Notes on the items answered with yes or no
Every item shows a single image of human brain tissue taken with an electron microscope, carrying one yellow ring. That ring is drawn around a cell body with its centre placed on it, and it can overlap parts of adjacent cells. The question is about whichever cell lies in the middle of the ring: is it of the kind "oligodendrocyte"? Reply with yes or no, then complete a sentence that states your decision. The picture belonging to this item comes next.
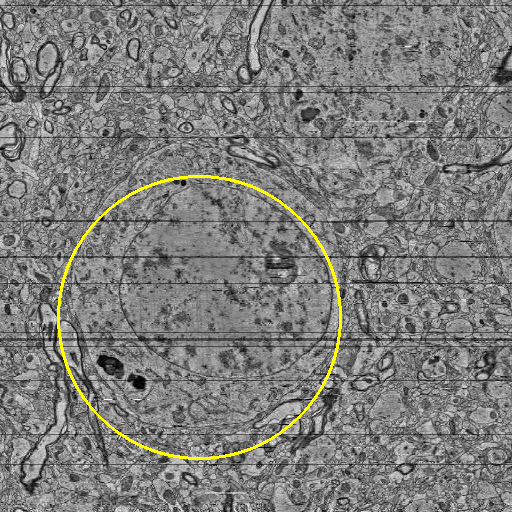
No, this micrograph shows a cell of another kind in the middle of the ring.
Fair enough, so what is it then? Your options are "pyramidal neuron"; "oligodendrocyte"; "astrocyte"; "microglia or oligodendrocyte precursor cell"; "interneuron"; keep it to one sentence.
The cell ringed in the picture is a pyramidal neuron.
